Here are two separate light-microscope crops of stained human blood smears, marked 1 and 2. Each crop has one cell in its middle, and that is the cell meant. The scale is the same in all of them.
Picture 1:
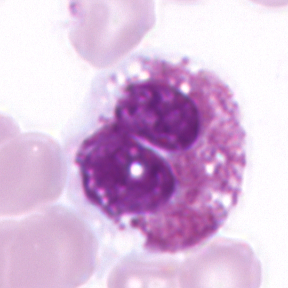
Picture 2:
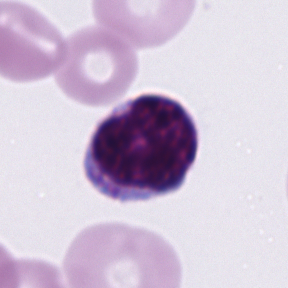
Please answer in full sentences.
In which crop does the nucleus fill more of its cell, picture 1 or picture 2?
In picture 2 the nucleus takes up the larger part of its cell.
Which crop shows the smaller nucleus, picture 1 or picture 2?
The nucleus in picture 2 is smaller; the one in picture 1 has about 1.5 times its area.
